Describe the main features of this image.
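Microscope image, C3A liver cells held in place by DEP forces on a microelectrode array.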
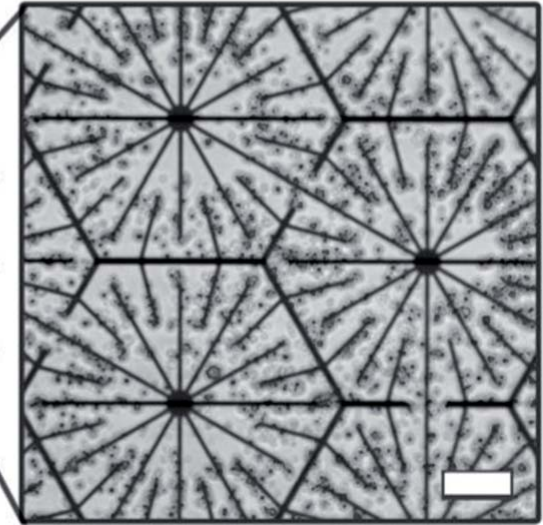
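The cells are small, round bodies with dark rims, set on a pale grey background. They lie in rows along thin dark radial lines that converge on dark central spots. Each radial set is enclosed by straight dark lines forming hexagonal outlines, and several of these hexagons sit side by side.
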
